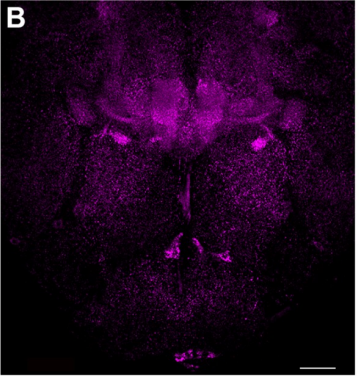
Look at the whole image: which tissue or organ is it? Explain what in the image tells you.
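A bilaterally symmetric organ with a central mass and two broad lateral lobes. Denser labeled neuropil lies along the midline in the upper central region. The answer: brain.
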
